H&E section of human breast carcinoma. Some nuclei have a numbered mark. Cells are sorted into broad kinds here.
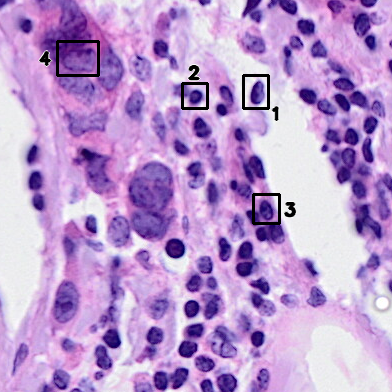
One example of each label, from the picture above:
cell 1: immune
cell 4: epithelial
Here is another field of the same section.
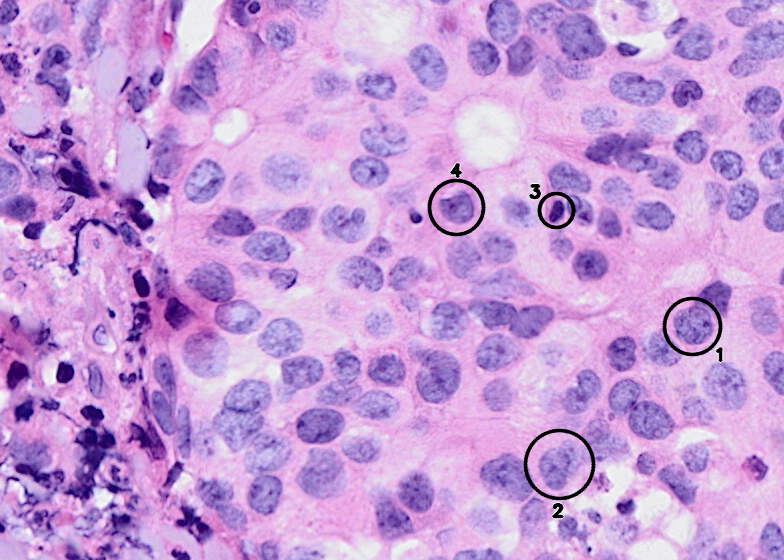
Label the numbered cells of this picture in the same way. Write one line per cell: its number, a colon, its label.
1: epithelial
2: epithelial
3: immune
4: epithelial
